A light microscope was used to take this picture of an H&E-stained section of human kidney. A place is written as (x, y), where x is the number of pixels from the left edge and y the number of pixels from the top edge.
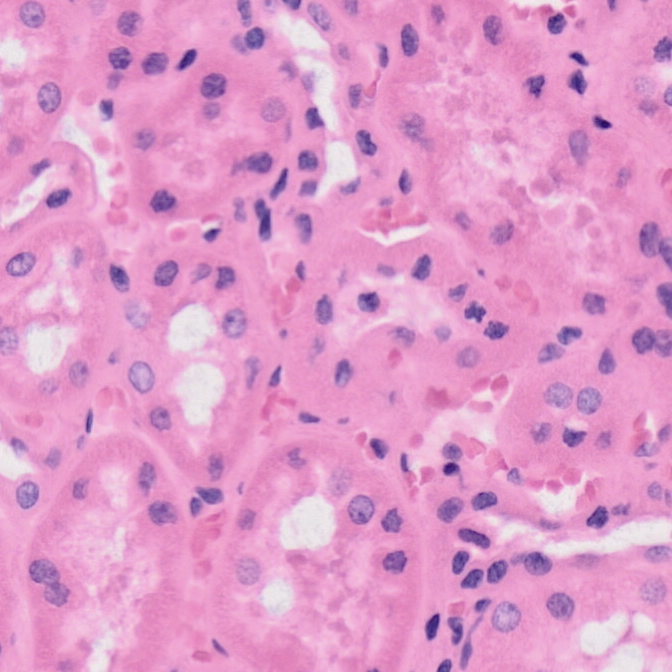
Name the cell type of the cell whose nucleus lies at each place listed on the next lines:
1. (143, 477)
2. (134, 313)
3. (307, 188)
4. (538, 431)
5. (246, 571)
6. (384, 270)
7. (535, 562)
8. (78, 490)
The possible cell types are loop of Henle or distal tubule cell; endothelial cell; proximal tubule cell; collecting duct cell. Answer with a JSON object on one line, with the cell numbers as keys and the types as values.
{"1": "proximal tubule cell", "2": "proximal tubule cell", "3": "loop of Henle or distal tubule cell", "4": "loop of Henle or distal tubule cell", "5": "proximal tubule cell", "6": "loop of Henle or distal tubule cell", "7": "collecting duct cell", "8": "proximal tubule cell"}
